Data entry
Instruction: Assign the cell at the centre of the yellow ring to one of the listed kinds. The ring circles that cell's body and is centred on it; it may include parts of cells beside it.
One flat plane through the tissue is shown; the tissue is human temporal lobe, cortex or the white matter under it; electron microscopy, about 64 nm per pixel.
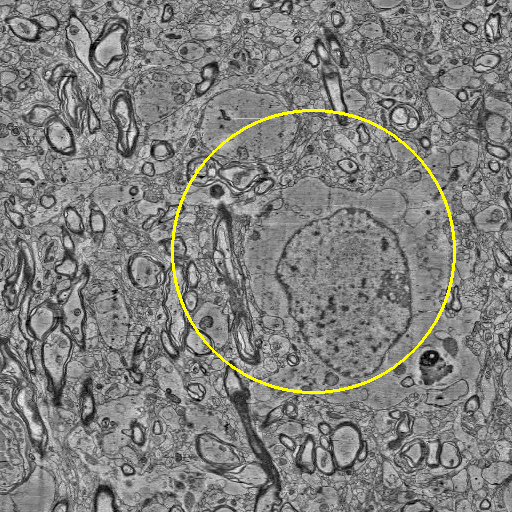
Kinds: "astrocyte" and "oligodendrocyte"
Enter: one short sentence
The centre of the ring falls on an astrocyte.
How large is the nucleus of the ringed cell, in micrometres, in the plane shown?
The nucleus measures about 11 by 8 micrometres in this plane.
